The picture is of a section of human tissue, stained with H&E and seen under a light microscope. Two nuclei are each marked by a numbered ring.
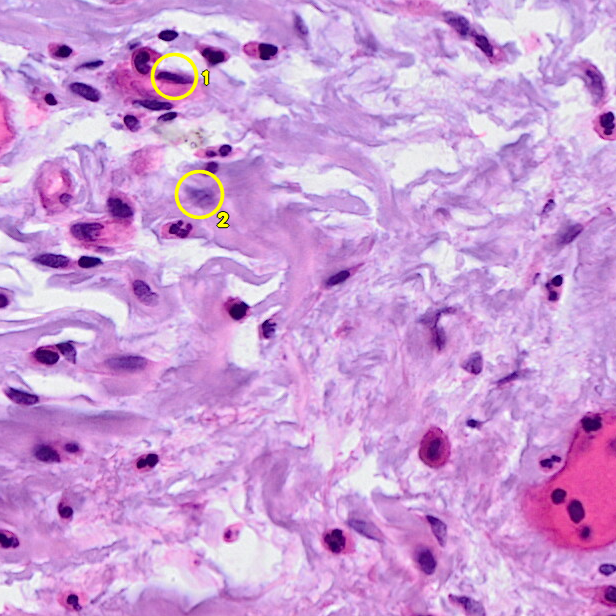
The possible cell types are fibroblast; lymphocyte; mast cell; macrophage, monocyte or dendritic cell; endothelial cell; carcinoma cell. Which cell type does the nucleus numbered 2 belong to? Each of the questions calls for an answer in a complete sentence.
Cell number 2 in this section is a fibroblast.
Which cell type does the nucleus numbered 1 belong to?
The cell assigned the number 1 is an endothelial cell.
